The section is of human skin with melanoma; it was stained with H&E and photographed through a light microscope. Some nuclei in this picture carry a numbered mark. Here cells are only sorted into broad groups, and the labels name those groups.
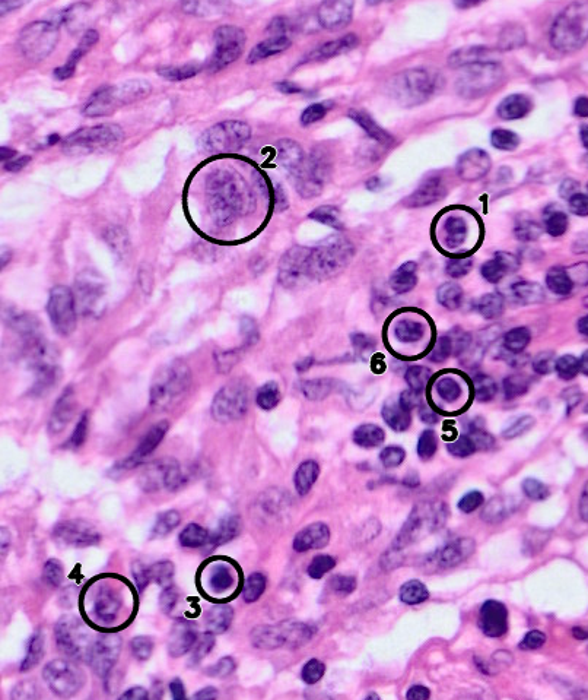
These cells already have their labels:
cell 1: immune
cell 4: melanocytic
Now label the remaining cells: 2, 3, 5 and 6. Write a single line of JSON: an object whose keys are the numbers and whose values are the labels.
{"2": "melanocytic", "3": "immune", "5": "immune", "6": "immune"}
